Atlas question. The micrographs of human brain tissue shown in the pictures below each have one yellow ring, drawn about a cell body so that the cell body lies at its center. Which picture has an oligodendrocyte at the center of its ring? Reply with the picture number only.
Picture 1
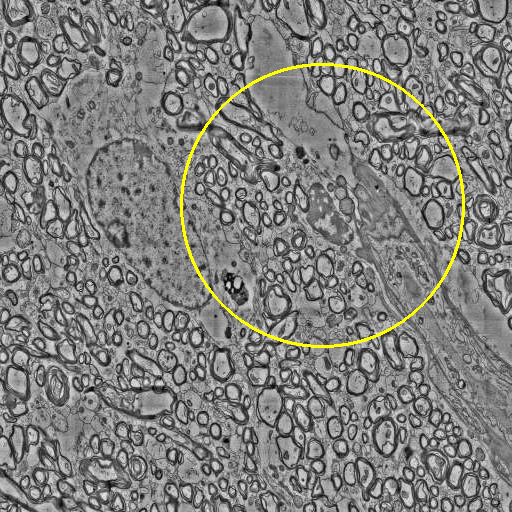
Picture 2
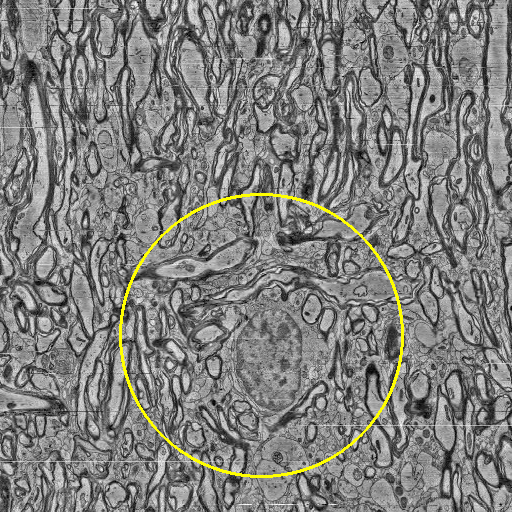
2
